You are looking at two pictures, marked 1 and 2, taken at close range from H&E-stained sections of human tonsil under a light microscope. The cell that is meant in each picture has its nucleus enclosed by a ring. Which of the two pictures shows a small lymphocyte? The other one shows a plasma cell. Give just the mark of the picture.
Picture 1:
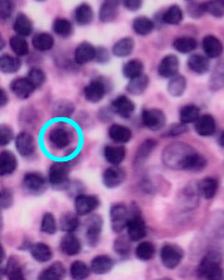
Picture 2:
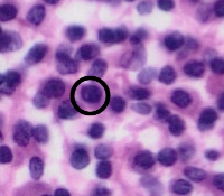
1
